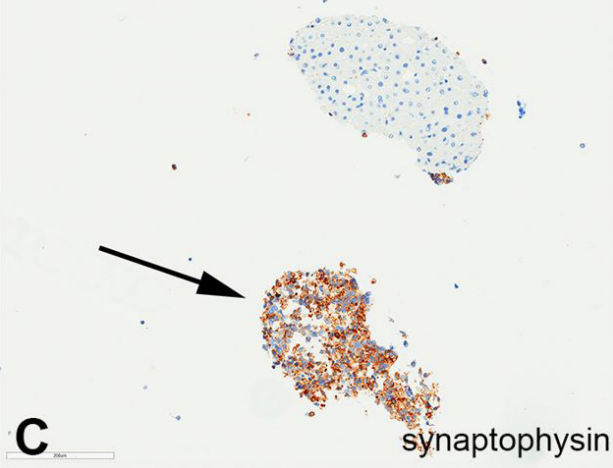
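Cell block with two separate cell groups on a clear background. One is a flat cohesive sheet of hepatic cells: polygonal, evenly spaced, with round central blue nuclei and abundant pale cytoplasm, without brown stain. The other, marked by the arrow, is a crowded cluster of smaller neoplastic cells with overlapping nuclei and strong granular brown cytoplasmic stain, some cells loosening at its edge. A few scattered single cells lie between the two groups.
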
